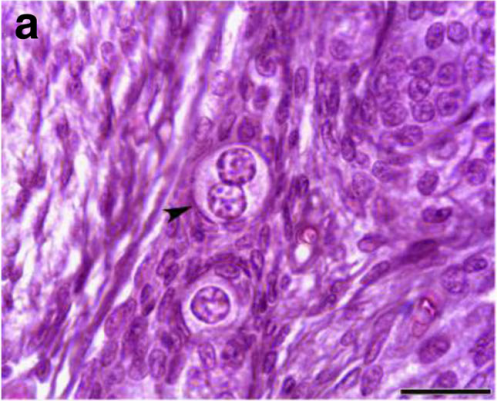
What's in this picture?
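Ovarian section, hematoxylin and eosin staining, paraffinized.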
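Small early follicles lie among the spindle-shaped stromal cells of the ovary. The marked follicle consists of a small round oocyte with pale cytoplasm, enclosed by a thin rim of flattened cells. Inside this oocyte two round nuclei sit side by side, each with dark chromatin clumps. A second small follicle with a single-looking oocyte lies just below it. The surrounding stroma is dense, with elongated nuclei running in streams.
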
